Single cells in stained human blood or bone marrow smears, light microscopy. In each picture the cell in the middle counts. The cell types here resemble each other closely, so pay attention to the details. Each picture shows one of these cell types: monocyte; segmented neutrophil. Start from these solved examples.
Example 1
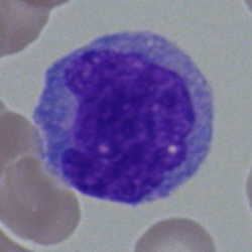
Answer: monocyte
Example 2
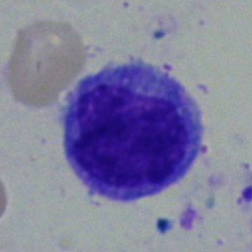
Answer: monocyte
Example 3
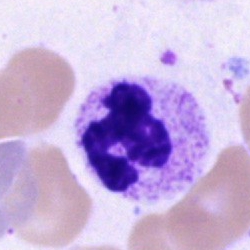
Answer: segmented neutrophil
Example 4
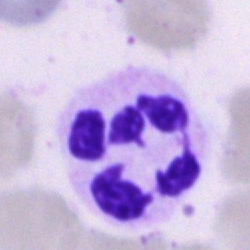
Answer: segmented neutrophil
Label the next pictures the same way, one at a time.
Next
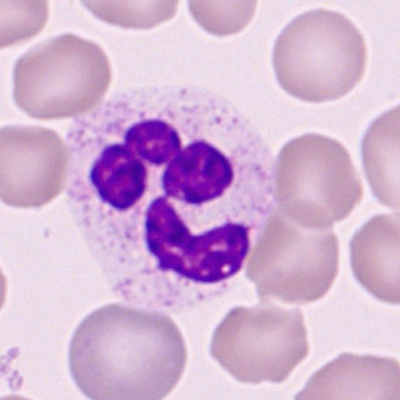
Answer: segmented neutrophil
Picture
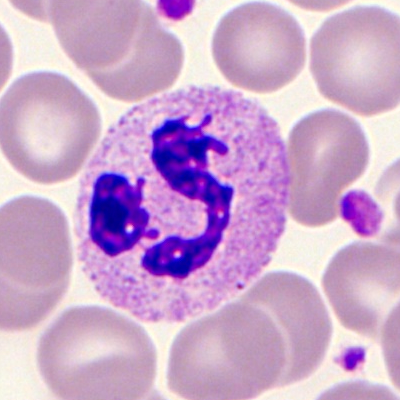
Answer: segmented neutrophil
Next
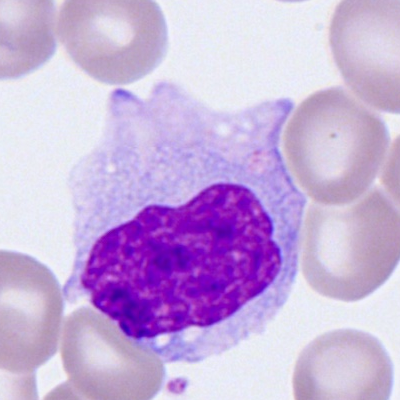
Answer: monocyte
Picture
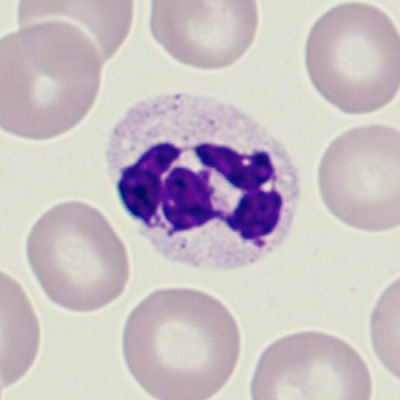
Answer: segmented neutrophil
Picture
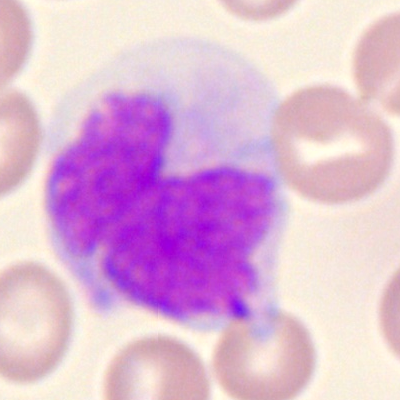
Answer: monocyte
